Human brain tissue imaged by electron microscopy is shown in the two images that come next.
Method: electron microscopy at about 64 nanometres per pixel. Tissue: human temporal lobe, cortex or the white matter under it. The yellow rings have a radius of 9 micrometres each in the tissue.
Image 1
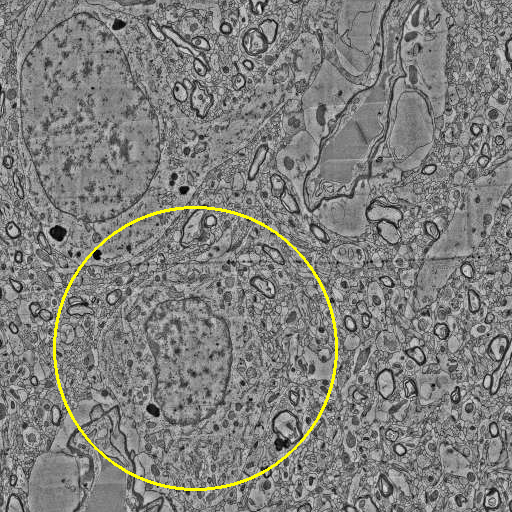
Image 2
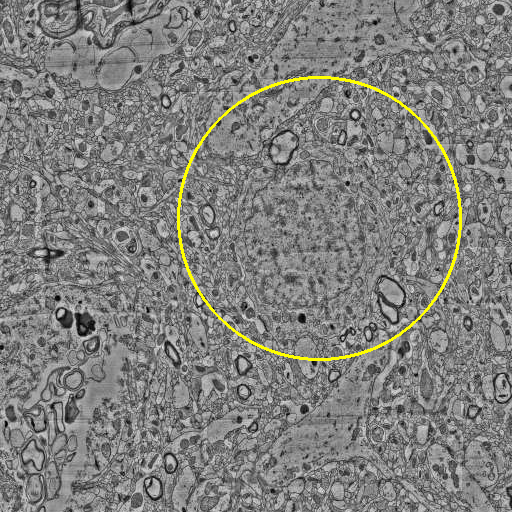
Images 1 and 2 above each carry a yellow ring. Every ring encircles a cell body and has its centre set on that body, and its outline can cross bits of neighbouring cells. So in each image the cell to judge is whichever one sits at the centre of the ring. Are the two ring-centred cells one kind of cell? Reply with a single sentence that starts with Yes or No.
Yes, in Image 1 and Image 2 the cells at the centres of their rings fall into one type.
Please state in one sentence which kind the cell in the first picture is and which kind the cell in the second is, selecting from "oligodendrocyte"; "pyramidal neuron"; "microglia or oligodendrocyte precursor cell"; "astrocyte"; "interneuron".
In each of the two pictures, the ringed cell is an interneuron.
